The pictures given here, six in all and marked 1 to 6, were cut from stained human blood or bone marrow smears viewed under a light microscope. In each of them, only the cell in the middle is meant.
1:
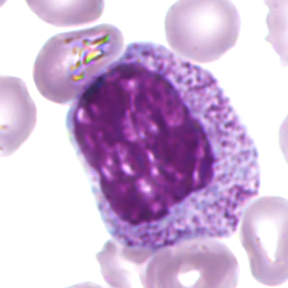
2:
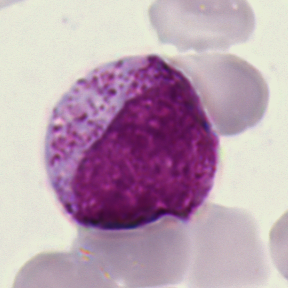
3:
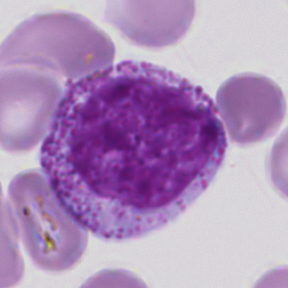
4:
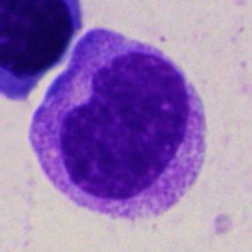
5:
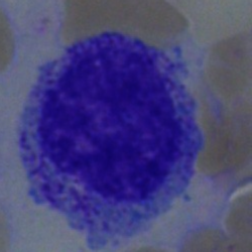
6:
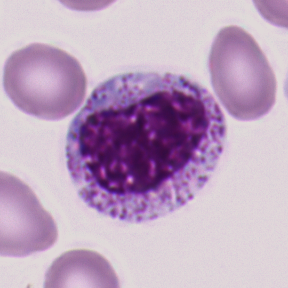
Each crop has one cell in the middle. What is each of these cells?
1: myelocyte
2: myelocyte
3: myelocyte
4: metamyelocyte
5: myelocyte
6: metamyelocyte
